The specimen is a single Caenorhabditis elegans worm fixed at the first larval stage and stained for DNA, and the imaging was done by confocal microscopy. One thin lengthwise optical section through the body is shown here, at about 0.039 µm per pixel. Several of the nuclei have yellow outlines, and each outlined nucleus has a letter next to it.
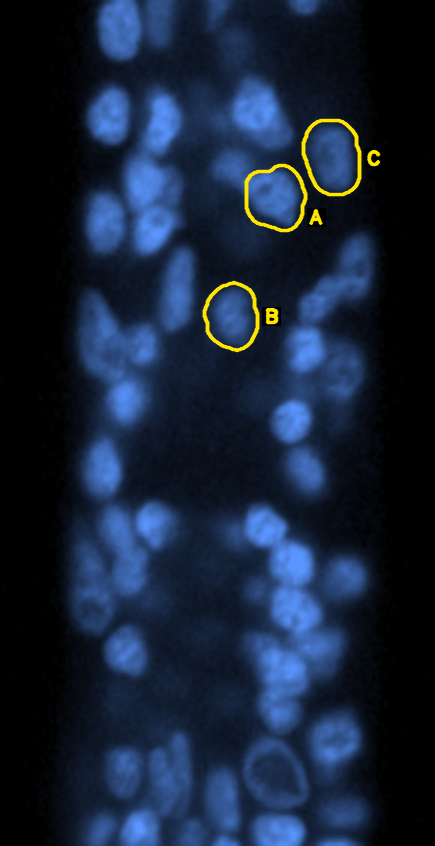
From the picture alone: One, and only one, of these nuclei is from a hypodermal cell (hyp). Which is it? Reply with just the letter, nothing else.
C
